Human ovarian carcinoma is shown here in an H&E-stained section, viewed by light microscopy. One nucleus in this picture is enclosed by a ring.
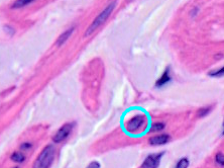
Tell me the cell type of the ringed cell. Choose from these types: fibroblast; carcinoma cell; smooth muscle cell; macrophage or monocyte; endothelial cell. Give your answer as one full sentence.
In this tissue section, the ringed cell is to be classed as a smooth muscle cell.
